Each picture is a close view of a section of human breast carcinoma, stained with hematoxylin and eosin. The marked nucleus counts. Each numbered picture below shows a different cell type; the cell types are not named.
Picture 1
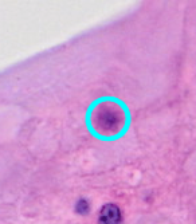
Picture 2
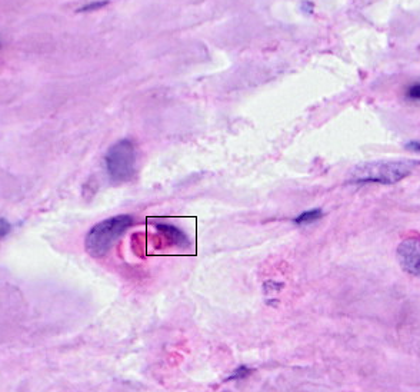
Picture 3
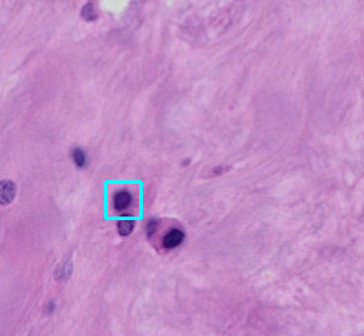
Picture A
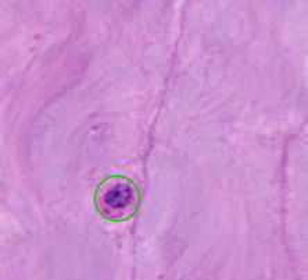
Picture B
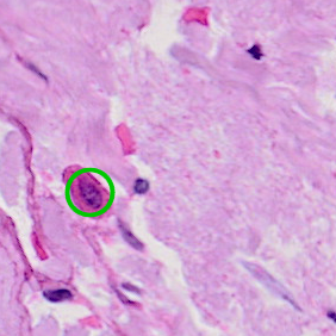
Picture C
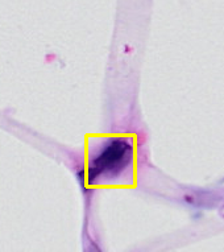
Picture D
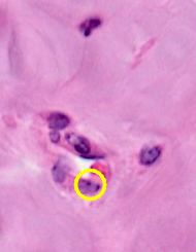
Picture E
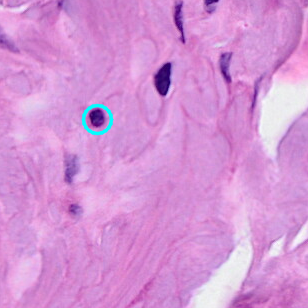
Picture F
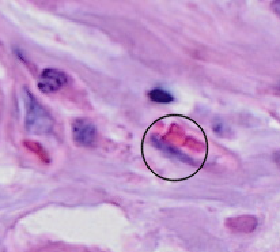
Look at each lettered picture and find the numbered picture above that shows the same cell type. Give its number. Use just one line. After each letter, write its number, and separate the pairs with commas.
A 1, B 1, C 2, D 2, E 1, F 2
